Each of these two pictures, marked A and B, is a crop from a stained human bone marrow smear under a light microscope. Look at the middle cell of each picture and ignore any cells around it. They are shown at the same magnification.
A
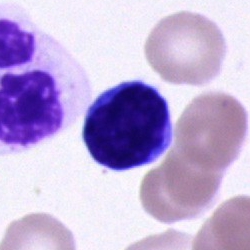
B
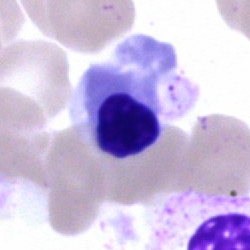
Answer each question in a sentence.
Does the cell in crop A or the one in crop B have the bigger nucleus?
The nucleus in crop A is larger, with about 2 times the area of the one in crop B.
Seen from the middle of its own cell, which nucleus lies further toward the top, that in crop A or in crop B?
Seen within its cell, the nucleus in crop A lies further toward the top.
